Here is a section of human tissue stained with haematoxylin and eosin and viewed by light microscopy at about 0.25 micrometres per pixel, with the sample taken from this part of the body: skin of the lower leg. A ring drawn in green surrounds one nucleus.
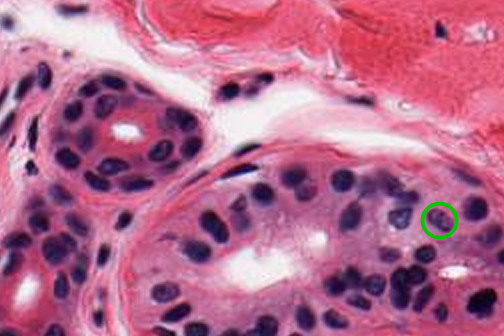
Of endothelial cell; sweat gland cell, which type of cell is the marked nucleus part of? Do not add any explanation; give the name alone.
sweat gland cell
